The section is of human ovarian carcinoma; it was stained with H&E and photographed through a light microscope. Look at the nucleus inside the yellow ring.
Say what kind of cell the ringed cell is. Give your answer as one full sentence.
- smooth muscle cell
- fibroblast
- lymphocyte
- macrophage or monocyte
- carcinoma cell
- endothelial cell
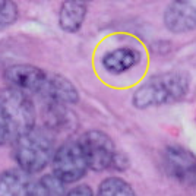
It is as a lymphocyte that the ringed cell is classified.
